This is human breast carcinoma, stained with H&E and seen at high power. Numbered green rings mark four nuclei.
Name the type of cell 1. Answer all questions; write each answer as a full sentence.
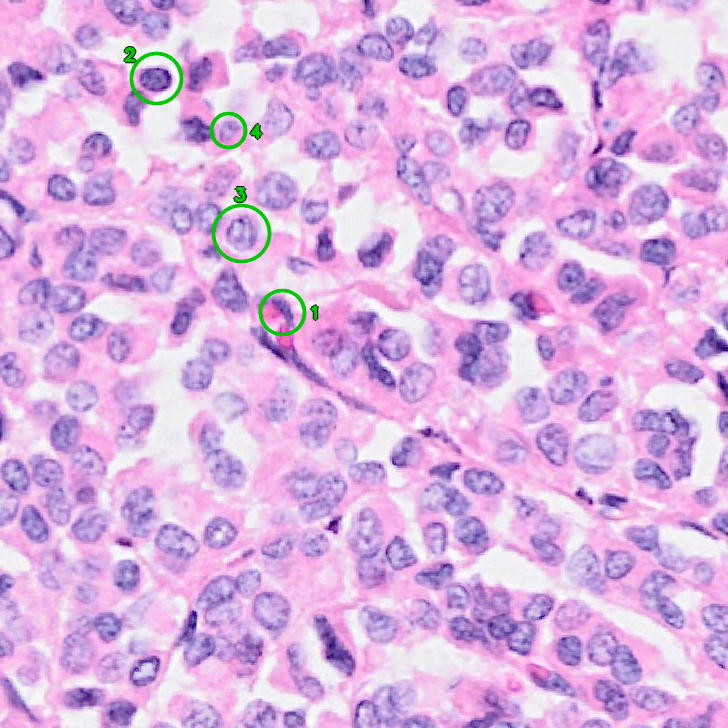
Cell 1 in the field is an endothelial cell.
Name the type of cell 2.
Here, the cell given the number 2 is a carcinoma cell.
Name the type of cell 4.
The nucleus labelled 4 belongs to a carcinoma cell.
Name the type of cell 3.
Classified as a carcinoma cell is the cell with the number 3.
